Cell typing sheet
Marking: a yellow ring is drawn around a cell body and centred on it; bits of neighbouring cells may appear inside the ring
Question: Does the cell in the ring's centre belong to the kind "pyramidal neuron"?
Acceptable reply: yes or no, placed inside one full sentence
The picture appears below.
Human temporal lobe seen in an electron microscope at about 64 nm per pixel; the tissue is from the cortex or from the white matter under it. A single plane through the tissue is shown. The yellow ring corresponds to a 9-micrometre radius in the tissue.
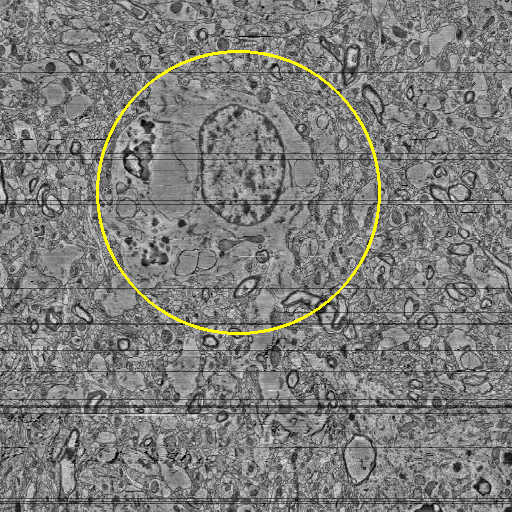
No, the cell at the centre of the ring belongs to a different kind.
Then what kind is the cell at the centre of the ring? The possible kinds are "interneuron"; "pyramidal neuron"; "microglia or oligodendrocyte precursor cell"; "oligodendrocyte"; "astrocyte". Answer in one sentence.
The cell in the ring is an astrocyte instead.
